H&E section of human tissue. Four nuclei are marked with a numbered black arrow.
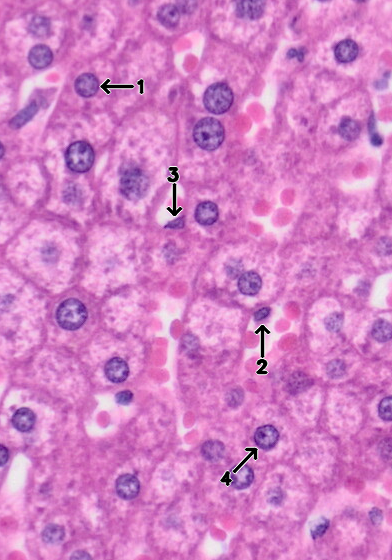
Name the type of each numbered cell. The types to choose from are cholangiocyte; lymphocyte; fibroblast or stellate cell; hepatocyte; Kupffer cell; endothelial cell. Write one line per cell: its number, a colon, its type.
1: hepatocyte
2: Kupffer cell
3: endothelial cell
4: hepatocyte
